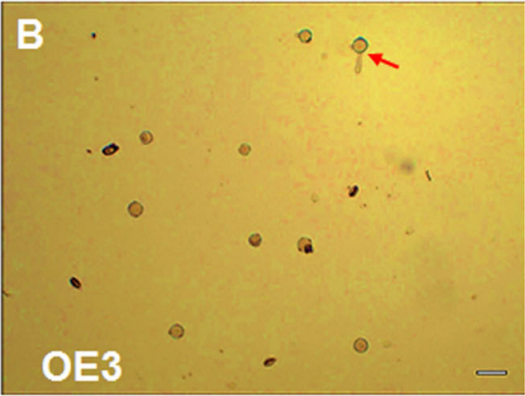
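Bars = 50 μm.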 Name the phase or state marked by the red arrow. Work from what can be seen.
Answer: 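Germinated pollen. The arrow points to a small round grain. A short tube projects from the marked grain.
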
